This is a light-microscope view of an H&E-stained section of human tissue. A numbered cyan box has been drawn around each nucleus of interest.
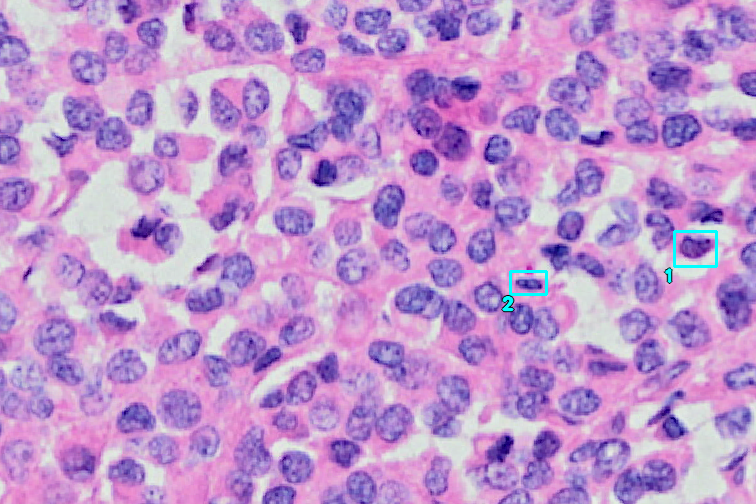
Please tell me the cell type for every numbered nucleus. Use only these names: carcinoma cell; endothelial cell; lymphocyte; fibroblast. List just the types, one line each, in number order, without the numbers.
carcinoma cell
endothelial cell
